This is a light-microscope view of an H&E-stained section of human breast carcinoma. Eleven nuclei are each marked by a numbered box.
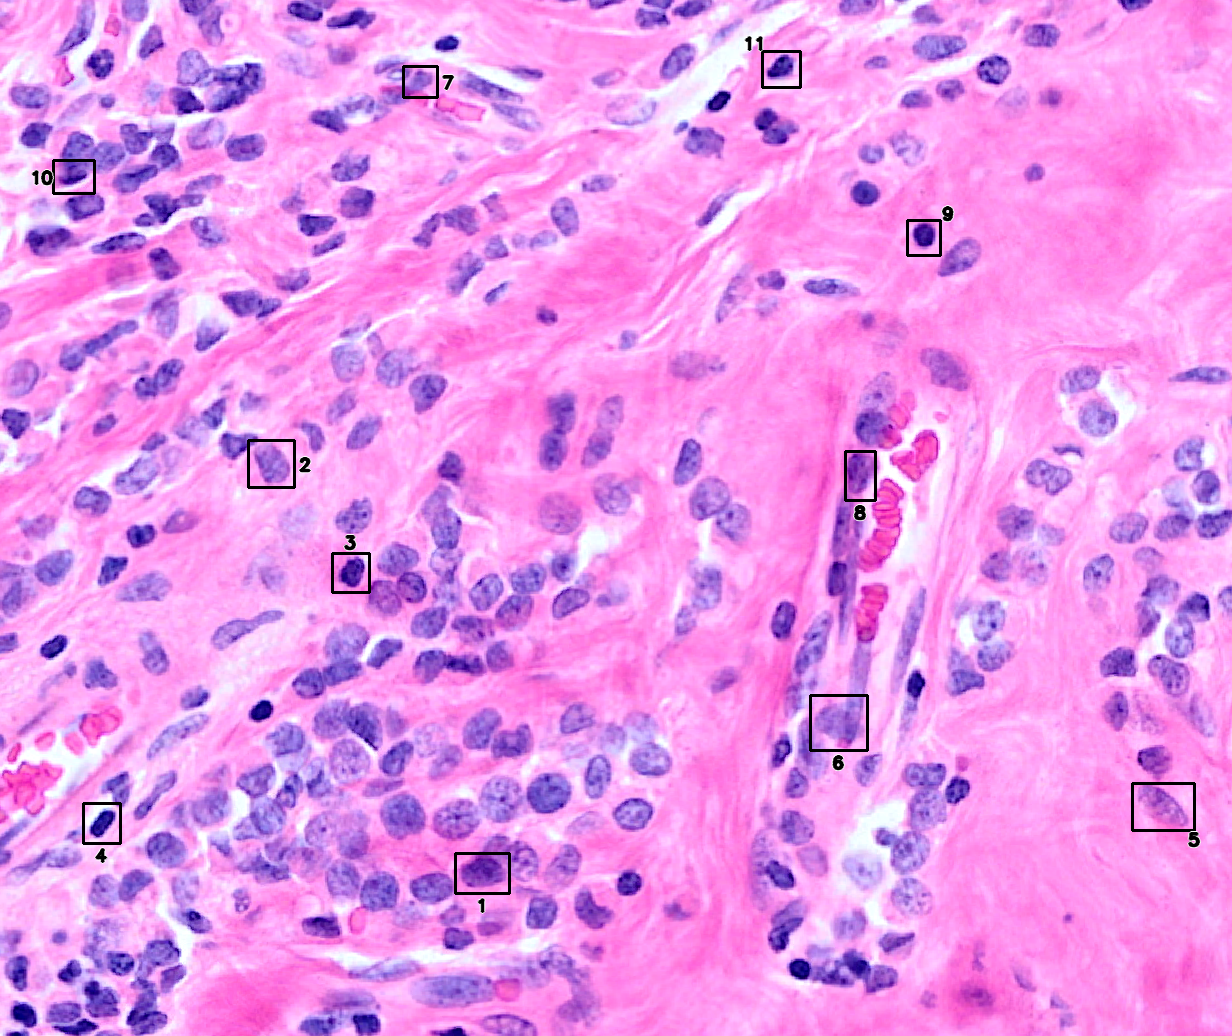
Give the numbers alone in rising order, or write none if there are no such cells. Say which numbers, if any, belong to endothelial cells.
6, 7, 8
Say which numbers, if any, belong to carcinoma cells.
1, 2, 10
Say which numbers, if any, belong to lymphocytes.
3, 4, 9, 11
